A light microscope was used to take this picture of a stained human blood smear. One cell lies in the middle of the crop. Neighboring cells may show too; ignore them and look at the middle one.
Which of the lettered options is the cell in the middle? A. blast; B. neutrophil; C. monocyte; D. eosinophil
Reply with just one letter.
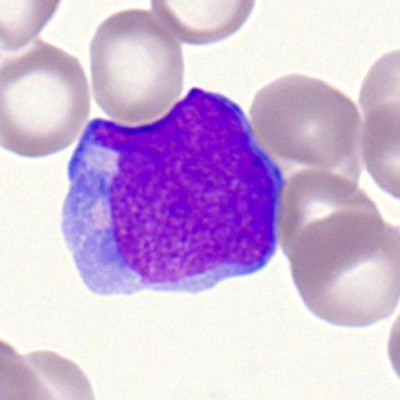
A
